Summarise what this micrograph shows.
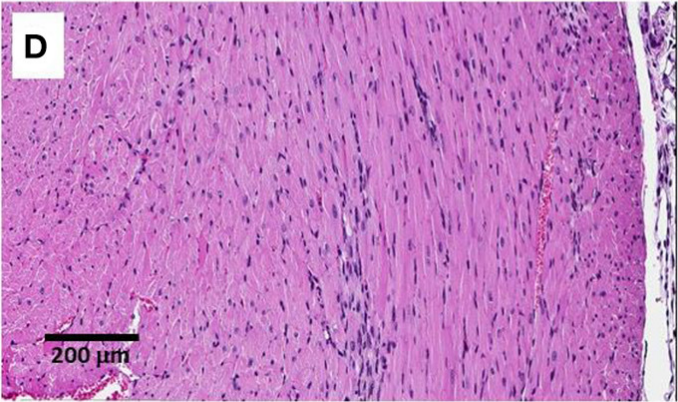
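Through the middle runs a band where purple nuclei are more densely crowded between the fibres. A thin vessel with red blood cells crosses the field, and a small collection of red cells lies near the lower left. At the right edge the muscle ends at a clear space, beyond which lies a thin strip of loose tissue with purple nuclei.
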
